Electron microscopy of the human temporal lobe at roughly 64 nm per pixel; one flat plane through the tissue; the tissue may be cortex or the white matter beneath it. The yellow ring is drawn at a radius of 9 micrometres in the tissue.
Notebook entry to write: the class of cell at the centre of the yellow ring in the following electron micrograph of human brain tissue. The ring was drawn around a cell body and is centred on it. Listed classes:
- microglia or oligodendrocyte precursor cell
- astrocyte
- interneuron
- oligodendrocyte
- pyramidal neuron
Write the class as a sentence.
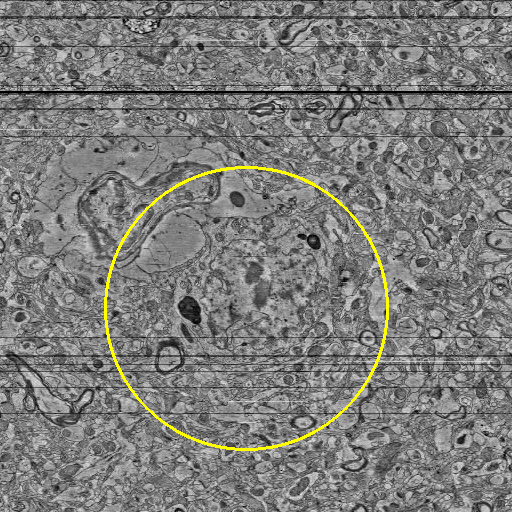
The yellow ring sits on an interneuron.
